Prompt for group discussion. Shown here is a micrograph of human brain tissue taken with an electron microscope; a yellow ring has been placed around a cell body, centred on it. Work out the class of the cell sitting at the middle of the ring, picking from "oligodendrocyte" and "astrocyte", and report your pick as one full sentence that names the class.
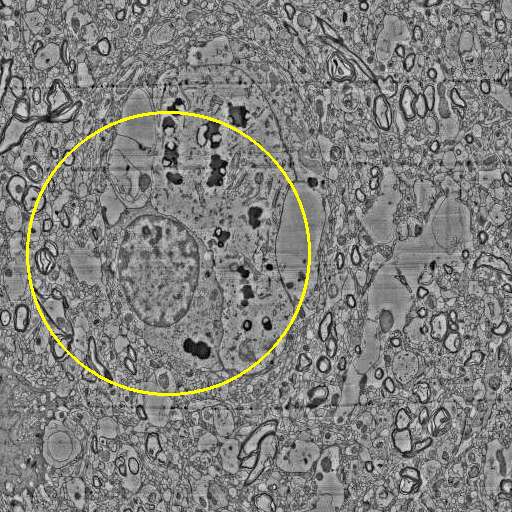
The cell sitting at the middle of the yellow ring is an oligodendrocyte.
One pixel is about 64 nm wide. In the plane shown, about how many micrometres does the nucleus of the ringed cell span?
The nucleus is approximately 7 micrometers long by 5 micrometers wide in this plane.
